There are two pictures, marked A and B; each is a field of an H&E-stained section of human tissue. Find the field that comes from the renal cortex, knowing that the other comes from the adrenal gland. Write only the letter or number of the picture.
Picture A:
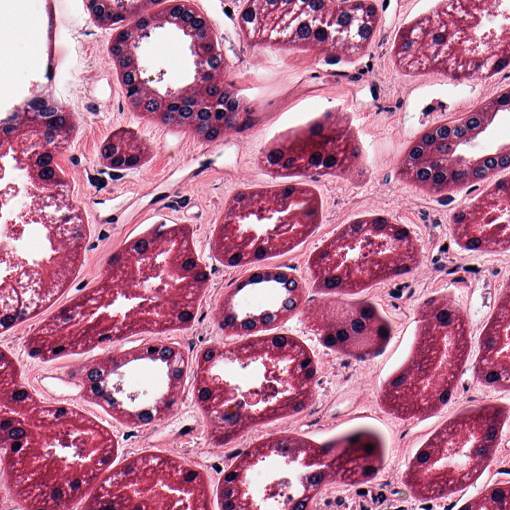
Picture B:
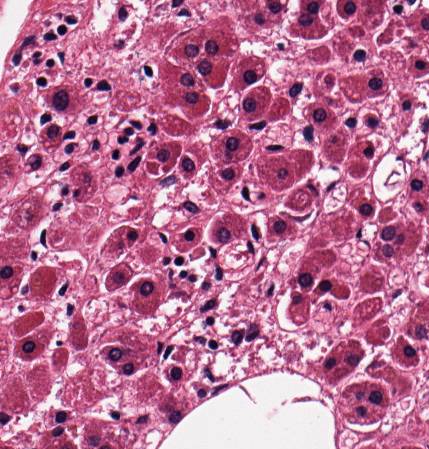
A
